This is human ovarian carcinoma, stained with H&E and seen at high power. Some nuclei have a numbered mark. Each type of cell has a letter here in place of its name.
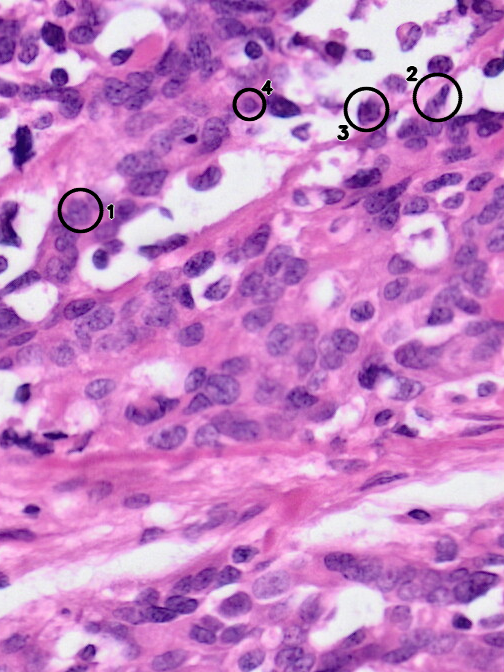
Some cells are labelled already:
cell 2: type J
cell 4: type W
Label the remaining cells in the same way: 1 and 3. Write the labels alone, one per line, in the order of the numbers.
type W
type W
